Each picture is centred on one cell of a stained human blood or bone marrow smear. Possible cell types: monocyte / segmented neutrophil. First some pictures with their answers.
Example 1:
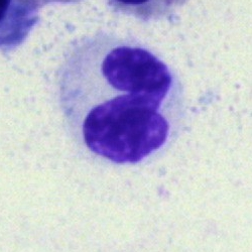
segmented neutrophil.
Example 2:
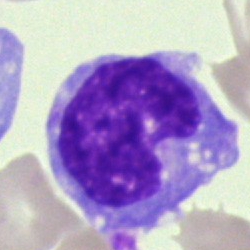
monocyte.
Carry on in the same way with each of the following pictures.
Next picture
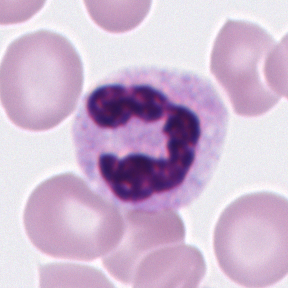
segmented neutrophil.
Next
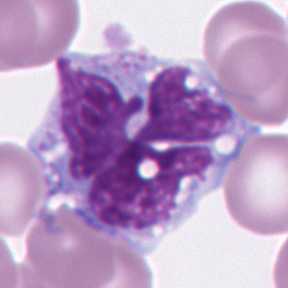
monocyte.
